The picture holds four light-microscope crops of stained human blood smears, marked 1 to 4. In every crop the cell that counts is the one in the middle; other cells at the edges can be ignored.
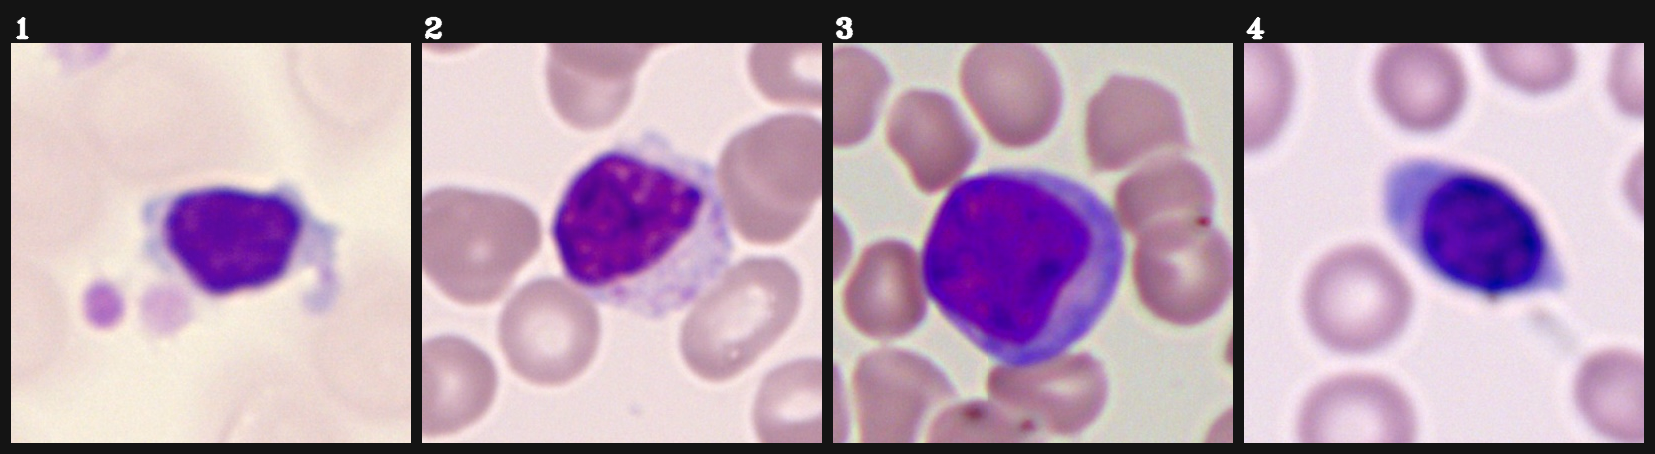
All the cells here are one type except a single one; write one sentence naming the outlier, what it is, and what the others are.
Among the crops, crop 3 is unique in showing a blast; the others show lymphocytes.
